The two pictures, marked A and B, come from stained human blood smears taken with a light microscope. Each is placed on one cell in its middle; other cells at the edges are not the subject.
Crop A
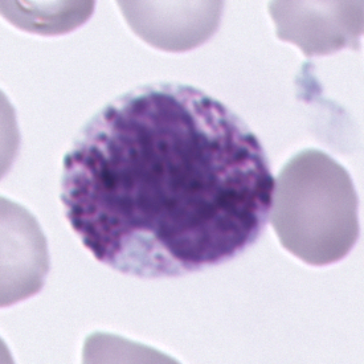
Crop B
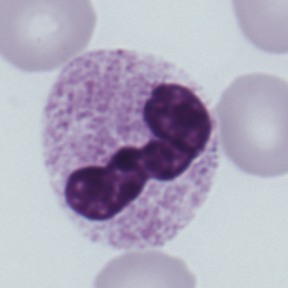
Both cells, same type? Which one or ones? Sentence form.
No, at the centre of crop A is a basophil, and at the centre of crop B is a segmented neutrophil.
